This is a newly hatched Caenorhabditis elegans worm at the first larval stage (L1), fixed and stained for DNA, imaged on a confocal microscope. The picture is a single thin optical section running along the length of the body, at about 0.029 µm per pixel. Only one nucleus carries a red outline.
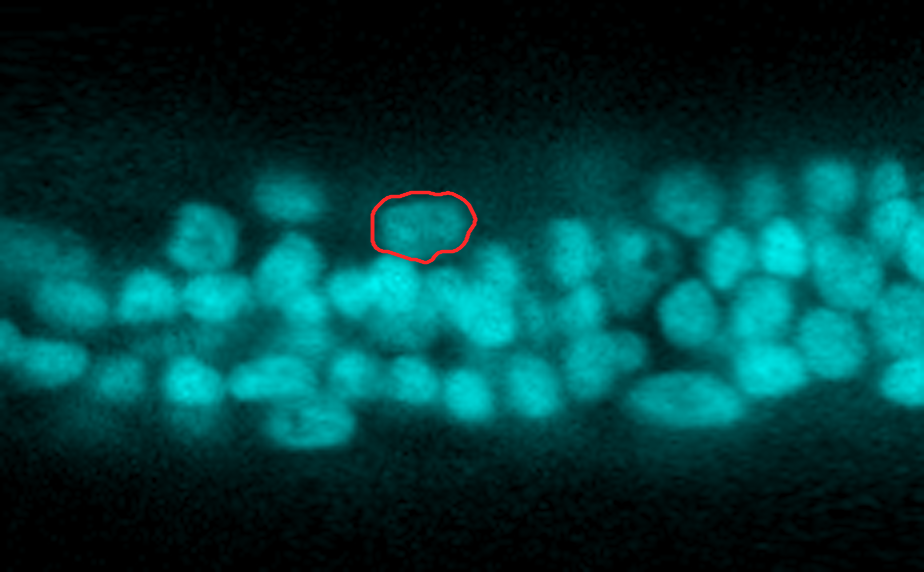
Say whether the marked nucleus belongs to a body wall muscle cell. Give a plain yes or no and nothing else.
yes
